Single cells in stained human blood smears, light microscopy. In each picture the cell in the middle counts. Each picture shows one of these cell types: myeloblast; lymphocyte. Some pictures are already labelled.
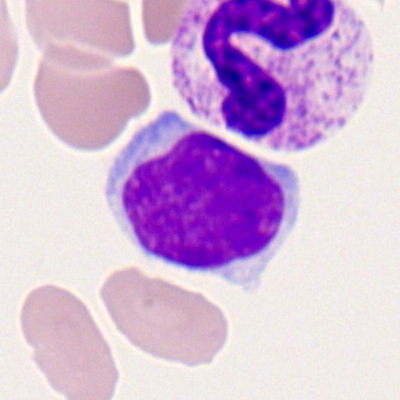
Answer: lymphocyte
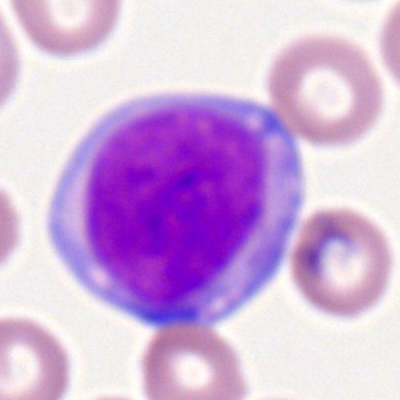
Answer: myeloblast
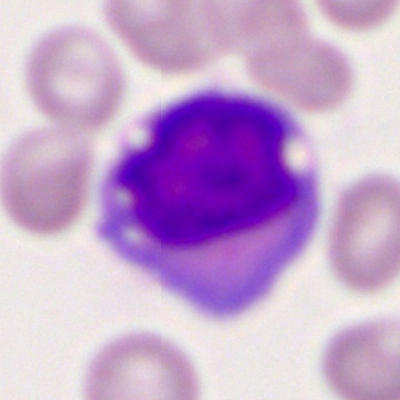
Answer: myeloblast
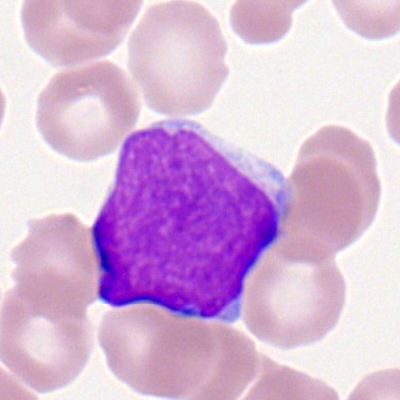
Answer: myeloblast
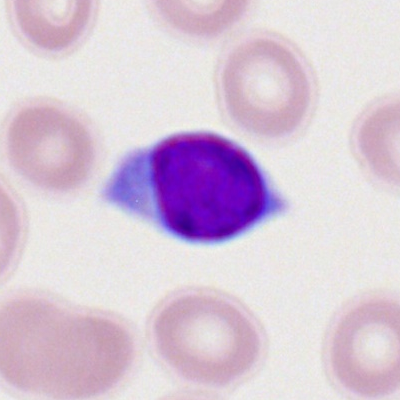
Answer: lymphocyte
